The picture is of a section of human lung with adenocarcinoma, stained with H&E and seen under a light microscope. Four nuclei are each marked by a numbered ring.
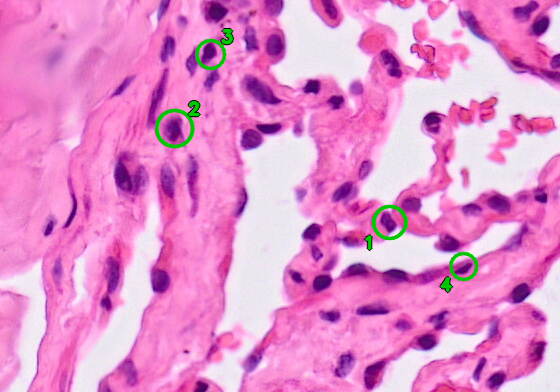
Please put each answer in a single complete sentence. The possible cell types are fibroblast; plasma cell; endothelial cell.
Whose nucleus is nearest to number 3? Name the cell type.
The nearest nucleus to number 3 belongs to a fibroblast.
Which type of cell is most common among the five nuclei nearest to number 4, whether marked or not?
Fibroblasts account for more than half of the five nuclei nearest to number 4.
